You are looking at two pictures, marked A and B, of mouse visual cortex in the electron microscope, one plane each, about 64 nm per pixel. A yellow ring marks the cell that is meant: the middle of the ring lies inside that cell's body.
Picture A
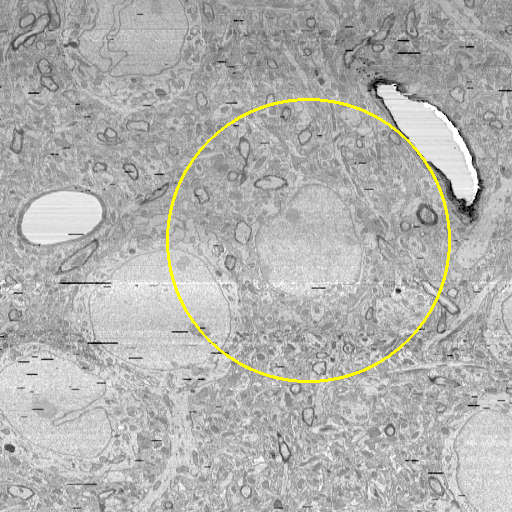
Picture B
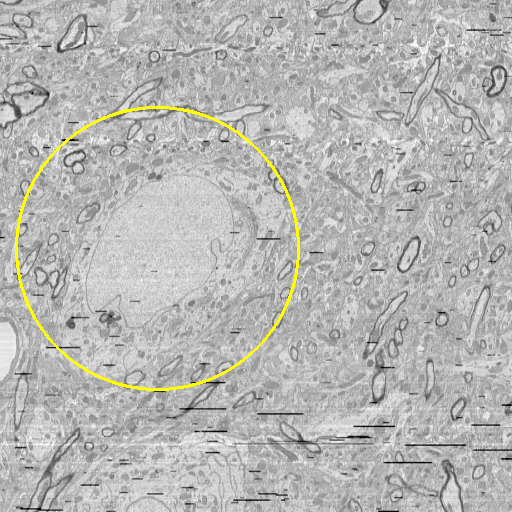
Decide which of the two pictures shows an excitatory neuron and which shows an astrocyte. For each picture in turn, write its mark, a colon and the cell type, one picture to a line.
A: astrocyte
B: excitatory neuron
